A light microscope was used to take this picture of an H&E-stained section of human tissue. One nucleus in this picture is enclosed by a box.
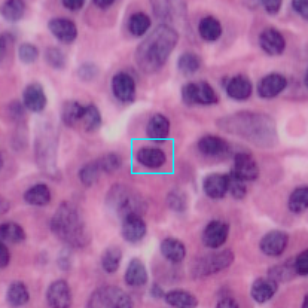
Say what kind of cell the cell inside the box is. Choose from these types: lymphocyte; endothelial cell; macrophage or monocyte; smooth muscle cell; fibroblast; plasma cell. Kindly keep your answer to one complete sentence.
Typologically, the cell inside the box is a plasma cell in this section.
